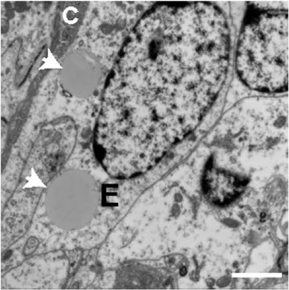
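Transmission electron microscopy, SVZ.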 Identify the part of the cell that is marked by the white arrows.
Lipid droplets.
